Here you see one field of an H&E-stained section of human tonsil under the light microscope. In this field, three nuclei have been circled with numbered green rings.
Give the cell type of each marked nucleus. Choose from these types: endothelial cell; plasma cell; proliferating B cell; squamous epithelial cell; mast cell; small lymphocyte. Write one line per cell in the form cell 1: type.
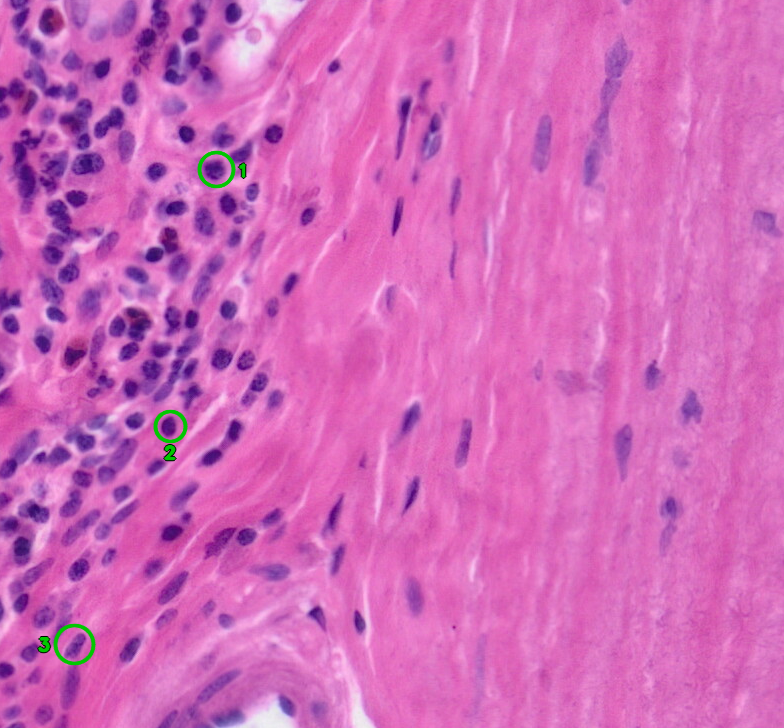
cell 1: plasma cell
cell 2: mast cell
cell 3: mast cell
